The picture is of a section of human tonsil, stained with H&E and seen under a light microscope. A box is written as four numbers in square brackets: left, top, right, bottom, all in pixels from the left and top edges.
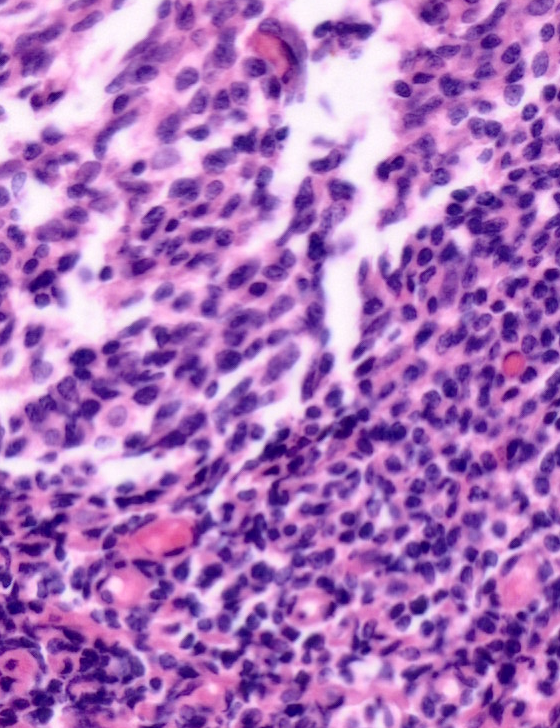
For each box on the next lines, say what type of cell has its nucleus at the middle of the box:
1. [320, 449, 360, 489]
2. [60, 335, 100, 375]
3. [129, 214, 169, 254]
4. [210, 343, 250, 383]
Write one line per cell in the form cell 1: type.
cell 1: small lymphocyte
cell 2: proliferating B cell
cell 3: proliferating B cell
cell 4: proliferating B cell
